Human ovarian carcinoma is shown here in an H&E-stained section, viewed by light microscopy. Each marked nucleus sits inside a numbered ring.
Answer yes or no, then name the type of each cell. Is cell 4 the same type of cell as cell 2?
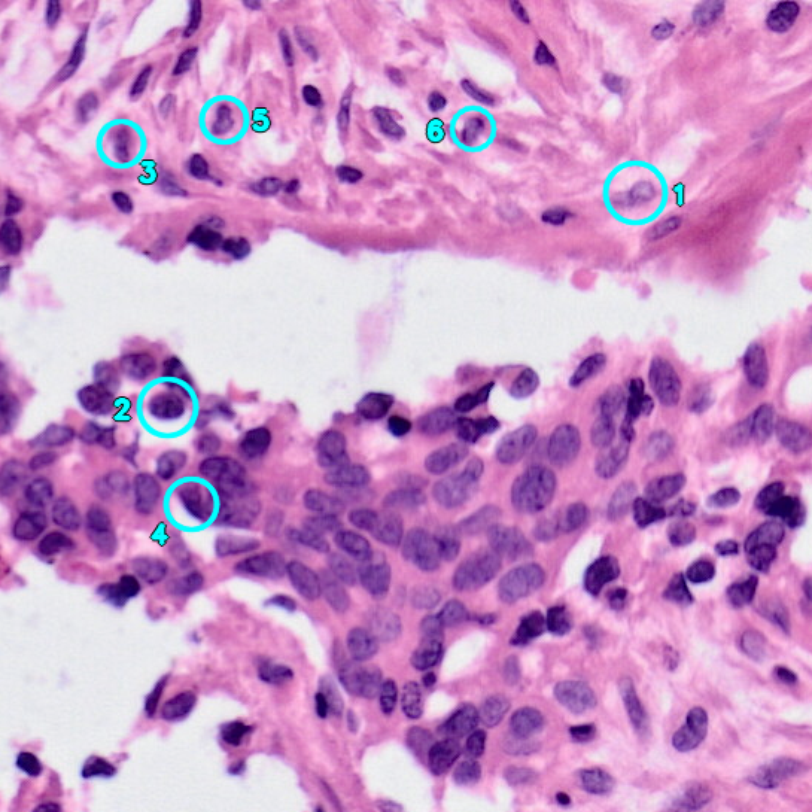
Yes, of the numbered cells, 4 and 2 are both carcinoma cells.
